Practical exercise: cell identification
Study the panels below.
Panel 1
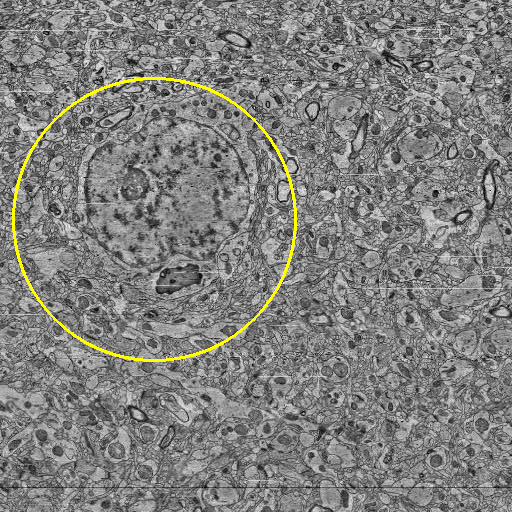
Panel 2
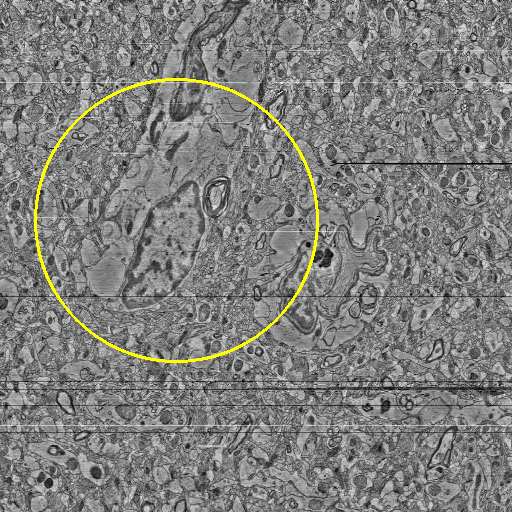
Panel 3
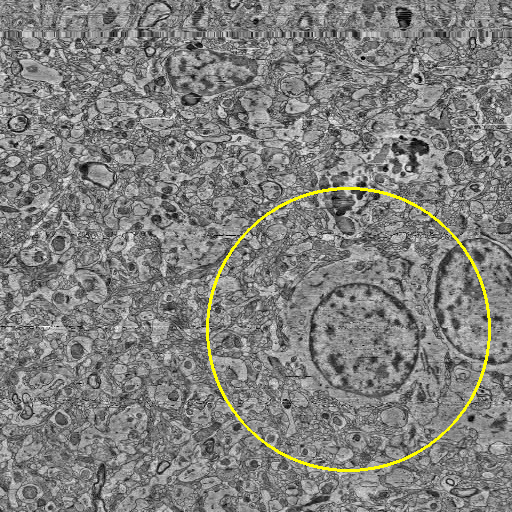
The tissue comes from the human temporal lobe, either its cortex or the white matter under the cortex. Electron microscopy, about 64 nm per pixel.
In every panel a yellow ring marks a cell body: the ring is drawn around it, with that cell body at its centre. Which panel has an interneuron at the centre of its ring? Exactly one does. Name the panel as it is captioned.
Panel 1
